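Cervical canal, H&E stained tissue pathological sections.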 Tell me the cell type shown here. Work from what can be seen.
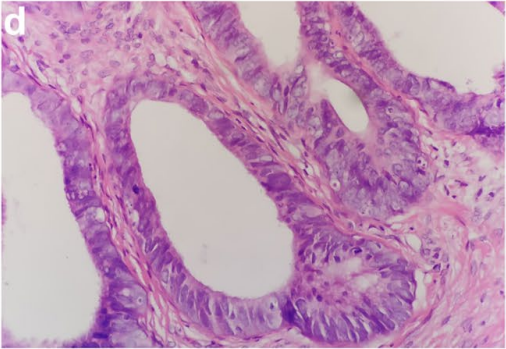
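Glands with open lumens are lined by tall columnar cells. The nuclei are elongated, enlarged and crowded at several levels. The nuclei are dark purple. The epithelium sits in pink fibrous stroma.
Conclusion: Abnormal columnar epithelial cells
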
